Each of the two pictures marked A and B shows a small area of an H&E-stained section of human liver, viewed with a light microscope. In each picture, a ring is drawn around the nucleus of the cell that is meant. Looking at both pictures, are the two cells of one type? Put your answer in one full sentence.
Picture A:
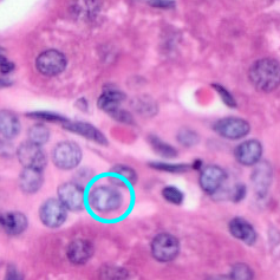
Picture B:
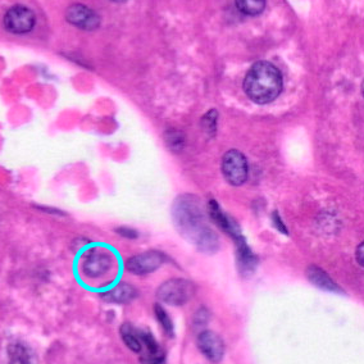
Yes, they are the same type: both are cholangiocytes.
